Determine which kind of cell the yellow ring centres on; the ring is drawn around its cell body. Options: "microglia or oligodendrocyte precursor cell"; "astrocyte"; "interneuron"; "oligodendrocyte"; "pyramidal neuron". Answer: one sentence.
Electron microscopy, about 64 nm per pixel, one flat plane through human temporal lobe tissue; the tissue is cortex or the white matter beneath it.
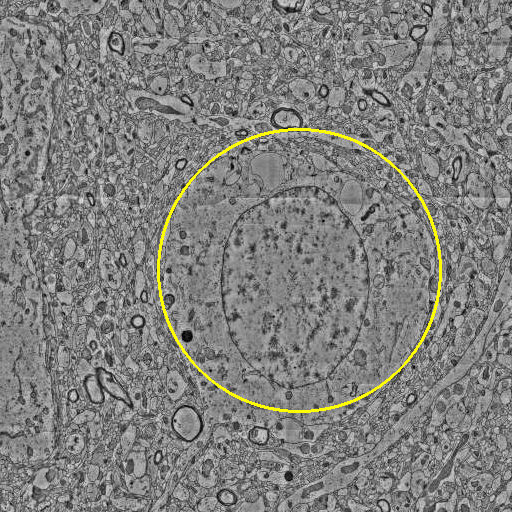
The ring centres on a pyramidal neuron.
